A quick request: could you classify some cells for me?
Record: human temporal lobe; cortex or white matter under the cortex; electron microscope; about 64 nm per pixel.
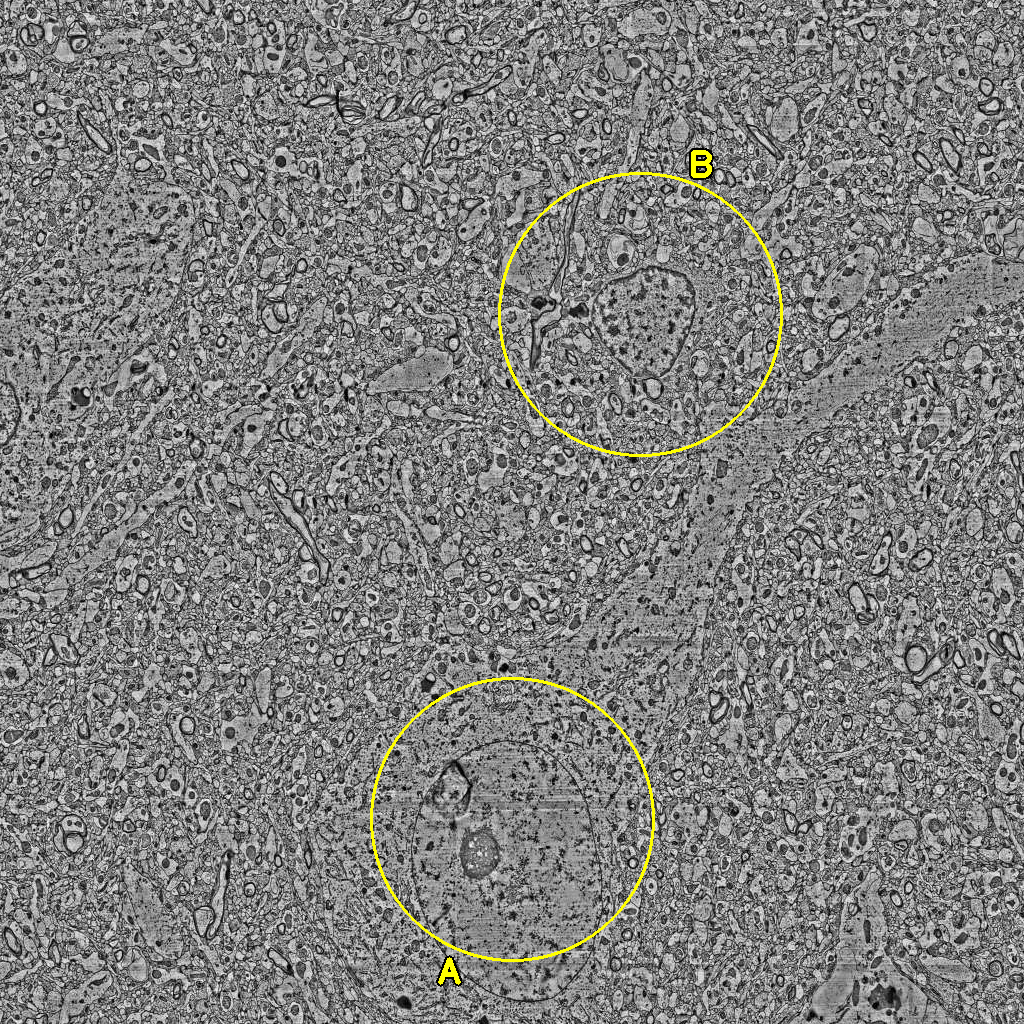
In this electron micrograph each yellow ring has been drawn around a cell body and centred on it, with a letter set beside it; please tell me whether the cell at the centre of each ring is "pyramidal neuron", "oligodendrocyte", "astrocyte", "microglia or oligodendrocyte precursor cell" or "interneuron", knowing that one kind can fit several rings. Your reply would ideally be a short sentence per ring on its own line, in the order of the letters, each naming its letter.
Ring A has a pyramidal neuron at its centre.
Ring B has an oligodendrocyte at its centre.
